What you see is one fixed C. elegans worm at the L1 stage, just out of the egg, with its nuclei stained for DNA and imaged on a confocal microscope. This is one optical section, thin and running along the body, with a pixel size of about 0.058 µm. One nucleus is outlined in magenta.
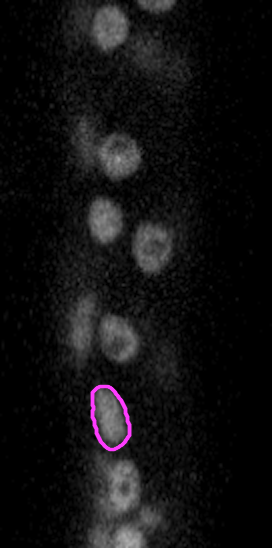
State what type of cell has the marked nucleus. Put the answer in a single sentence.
This is the nucleus of an enteric muscle cell.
